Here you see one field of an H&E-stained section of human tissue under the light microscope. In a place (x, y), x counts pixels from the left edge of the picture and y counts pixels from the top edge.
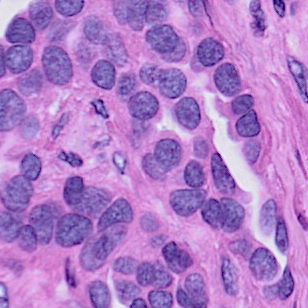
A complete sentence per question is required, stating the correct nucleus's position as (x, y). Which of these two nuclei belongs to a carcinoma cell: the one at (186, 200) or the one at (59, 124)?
The nucleus whose cell is a carcinoma cell is the one at (186, 200).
